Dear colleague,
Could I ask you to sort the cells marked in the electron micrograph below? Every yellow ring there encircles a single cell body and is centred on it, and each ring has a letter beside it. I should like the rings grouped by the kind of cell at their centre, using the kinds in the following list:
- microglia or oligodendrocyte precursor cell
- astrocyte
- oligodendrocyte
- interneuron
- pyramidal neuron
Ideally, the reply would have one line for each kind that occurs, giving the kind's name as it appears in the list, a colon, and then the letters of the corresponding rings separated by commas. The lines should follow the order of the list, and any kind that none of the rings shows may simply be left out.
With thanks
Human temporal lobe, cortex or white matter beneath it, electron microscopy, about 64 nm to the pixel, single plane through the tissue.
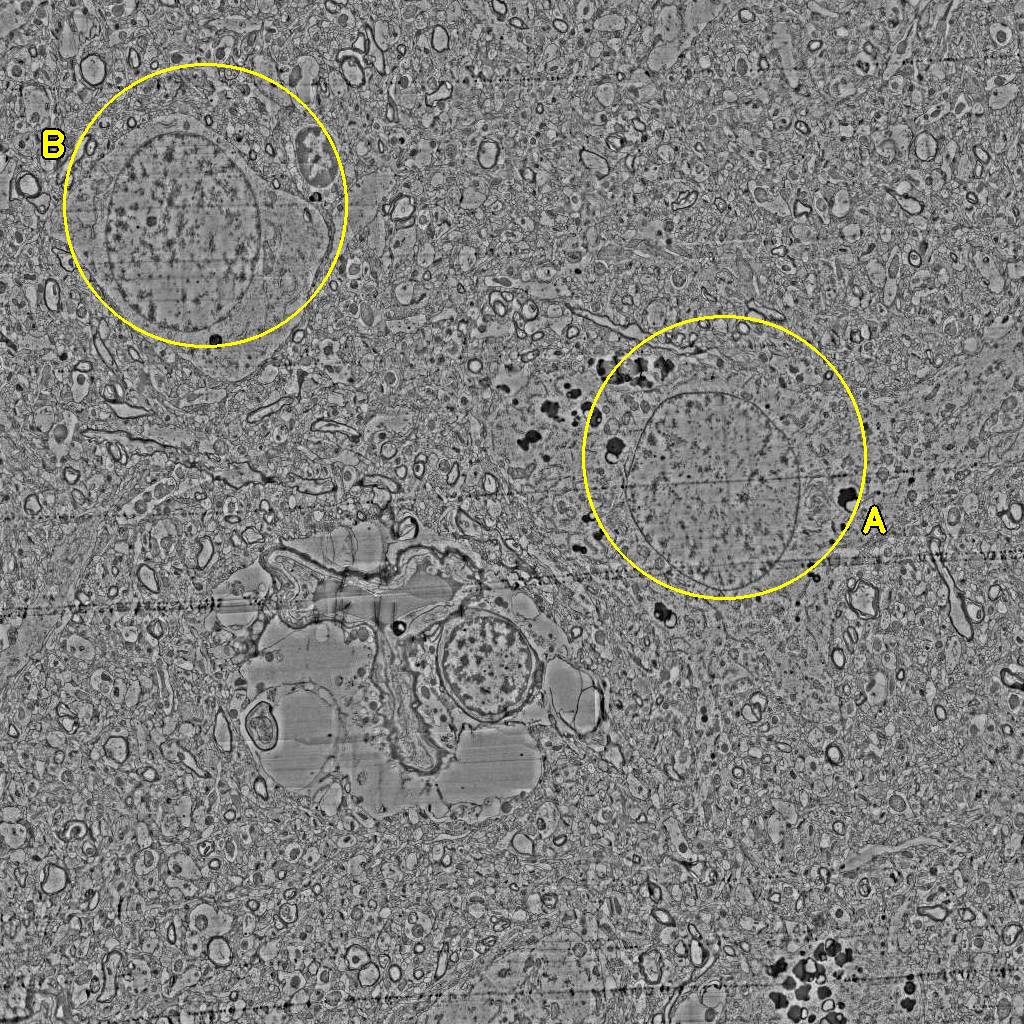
interneuron: B
pyramidal neuron: A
